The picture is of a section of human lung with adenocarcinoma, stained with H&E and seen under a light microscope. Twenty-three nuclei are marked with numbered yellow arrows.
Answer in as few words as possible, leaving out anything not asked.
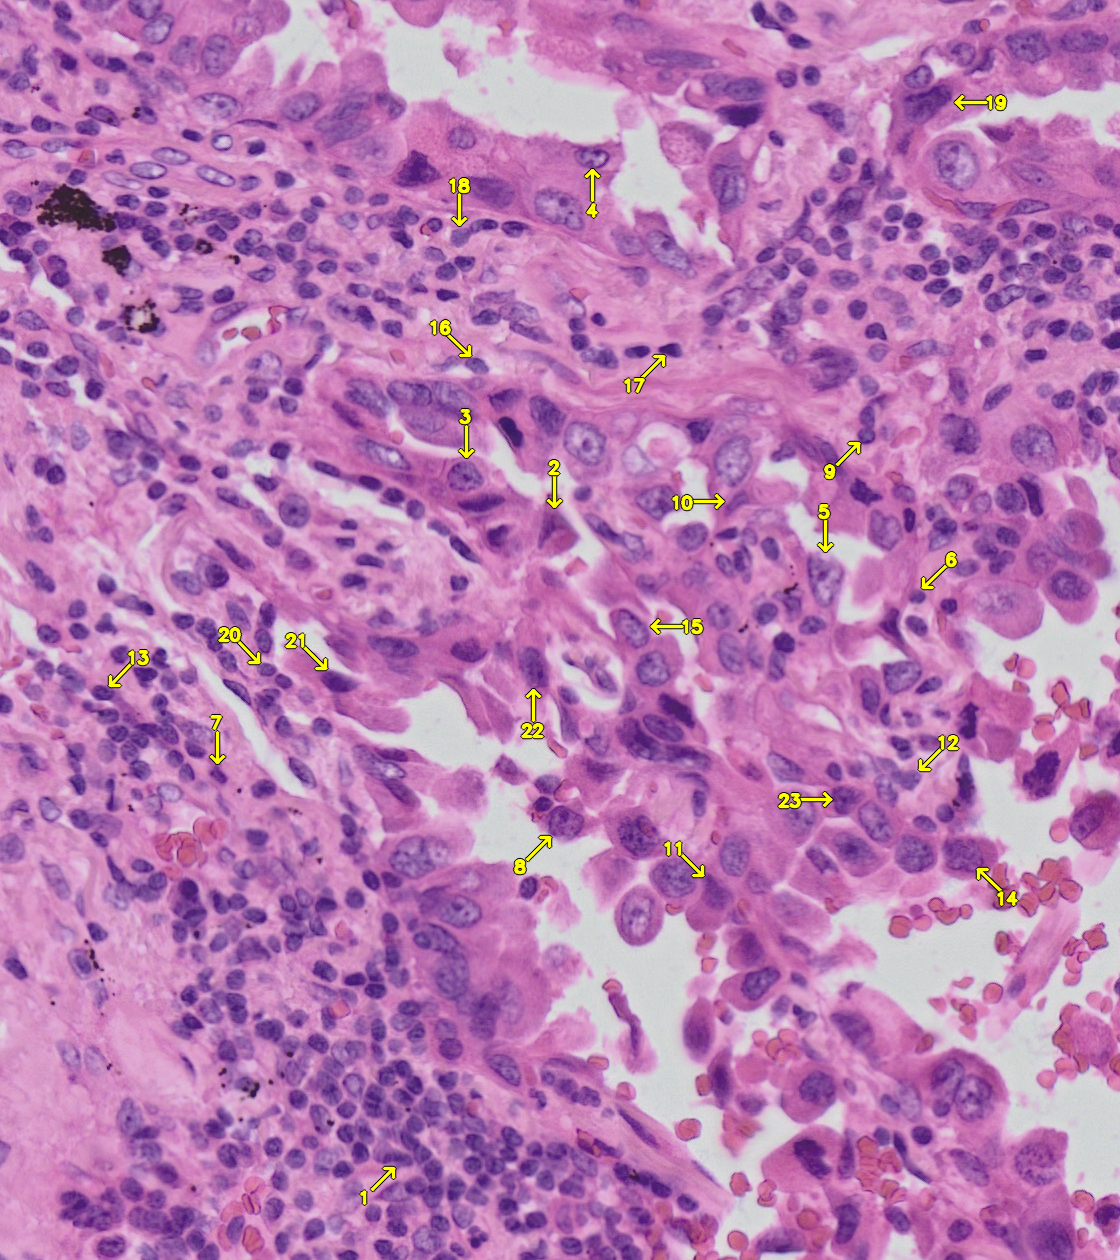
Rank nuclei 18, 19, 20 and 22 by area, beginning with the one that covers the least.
20, 18, 22, 19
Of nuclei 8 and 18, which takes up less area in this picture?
18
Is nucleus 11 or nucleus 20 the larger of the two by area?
11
